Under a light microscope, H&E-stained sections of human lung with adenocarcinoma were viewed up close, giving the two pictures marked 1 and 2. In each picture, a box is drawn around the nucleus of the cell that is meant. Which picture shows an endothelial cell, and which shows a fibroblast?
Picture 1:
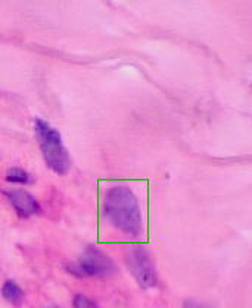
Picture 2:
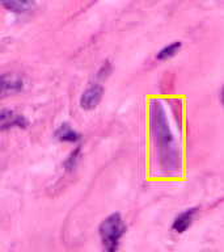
1: fibroblast
2: endothelial cell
